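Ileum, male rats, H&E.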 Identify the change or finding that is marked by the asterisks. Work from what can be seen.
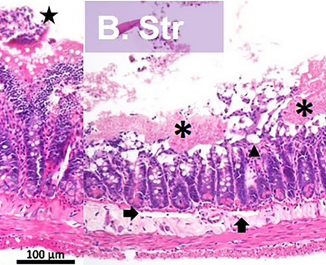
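Above the crypt layer there are almost no finger-like villi. The marked area holds pale pink amorphous material instead of villi.
Loss of villi.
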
